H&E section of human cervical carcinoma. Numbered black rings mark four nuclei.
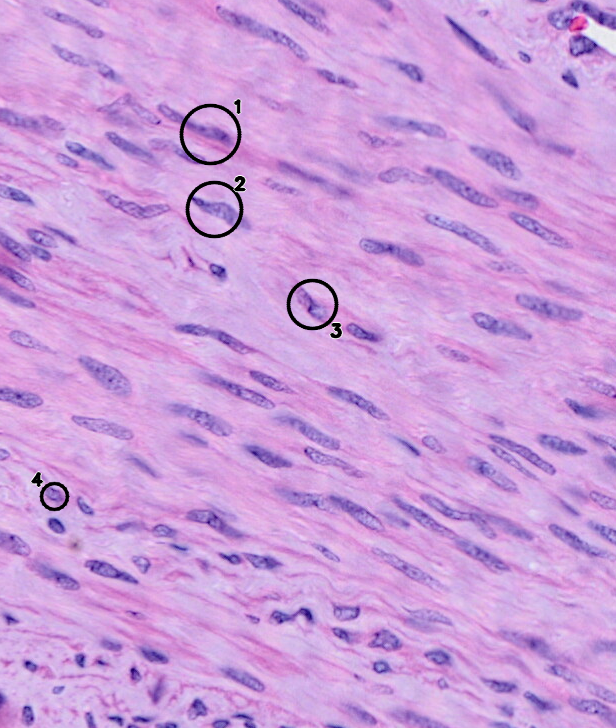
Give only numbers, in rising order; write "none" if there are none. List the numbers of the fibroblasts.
2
